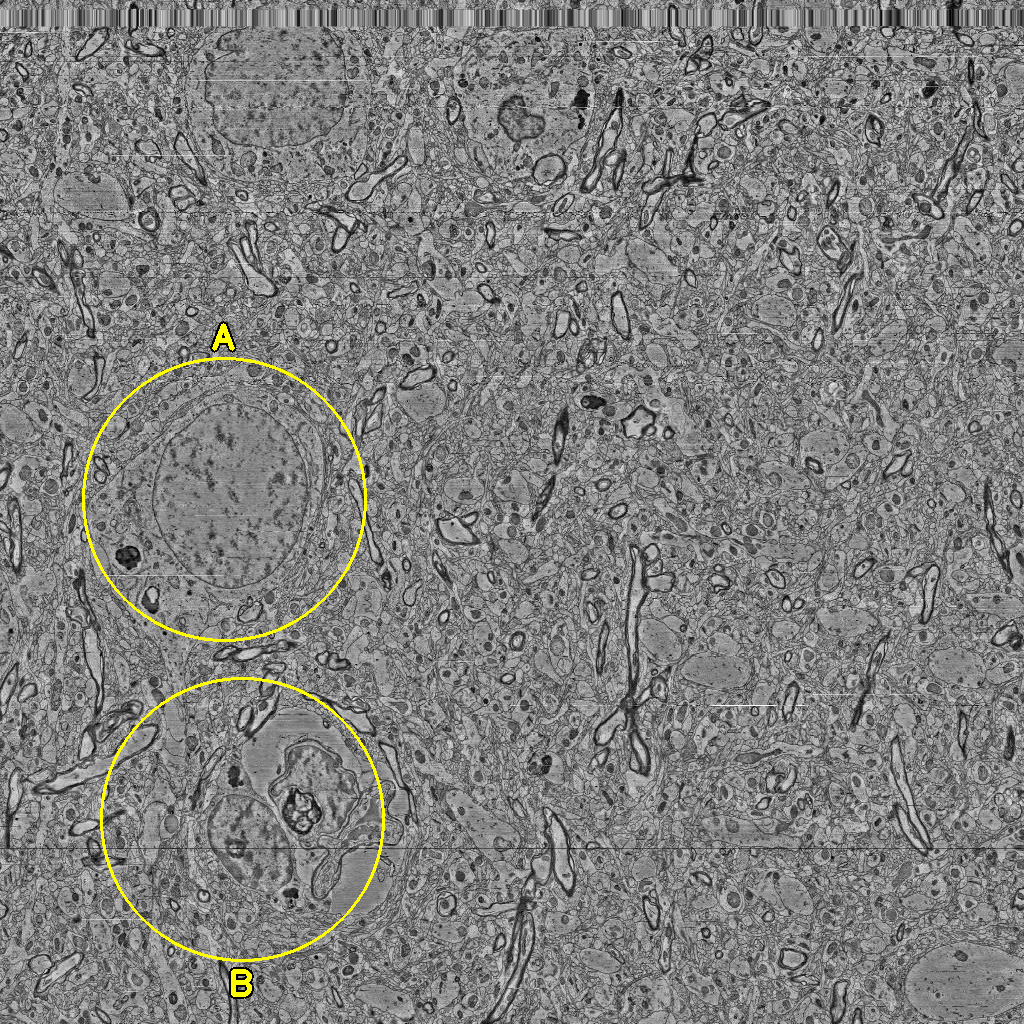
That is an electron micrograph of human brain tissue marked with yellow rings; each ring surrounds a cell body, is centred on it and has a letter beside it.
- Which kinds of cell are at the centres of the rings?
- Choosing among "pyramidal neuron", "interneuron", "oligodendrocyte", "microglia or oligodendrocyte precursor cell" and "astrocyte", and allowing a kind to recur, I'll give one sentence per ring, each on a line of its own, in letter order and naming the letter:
Ring A sits around a pyramidal neuron.
Ring B sits around an oligodendrocyte.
